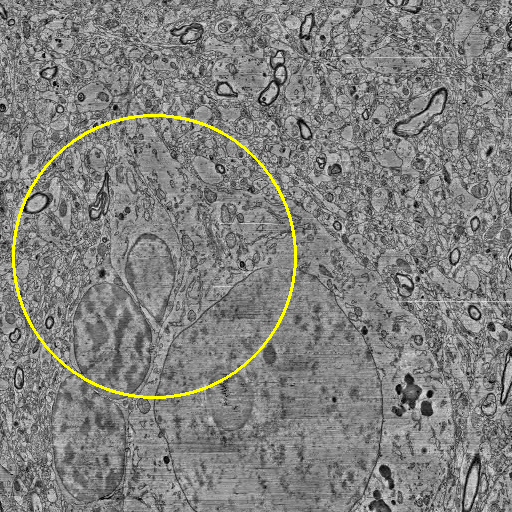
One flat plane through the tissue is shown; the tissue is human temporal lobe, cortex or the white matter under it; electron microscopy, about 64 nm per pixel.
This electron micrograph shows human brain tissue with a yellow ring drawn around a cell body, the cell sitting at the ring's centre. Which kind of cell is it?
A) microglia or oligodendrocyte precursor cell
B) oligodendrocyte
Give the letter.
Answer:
A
